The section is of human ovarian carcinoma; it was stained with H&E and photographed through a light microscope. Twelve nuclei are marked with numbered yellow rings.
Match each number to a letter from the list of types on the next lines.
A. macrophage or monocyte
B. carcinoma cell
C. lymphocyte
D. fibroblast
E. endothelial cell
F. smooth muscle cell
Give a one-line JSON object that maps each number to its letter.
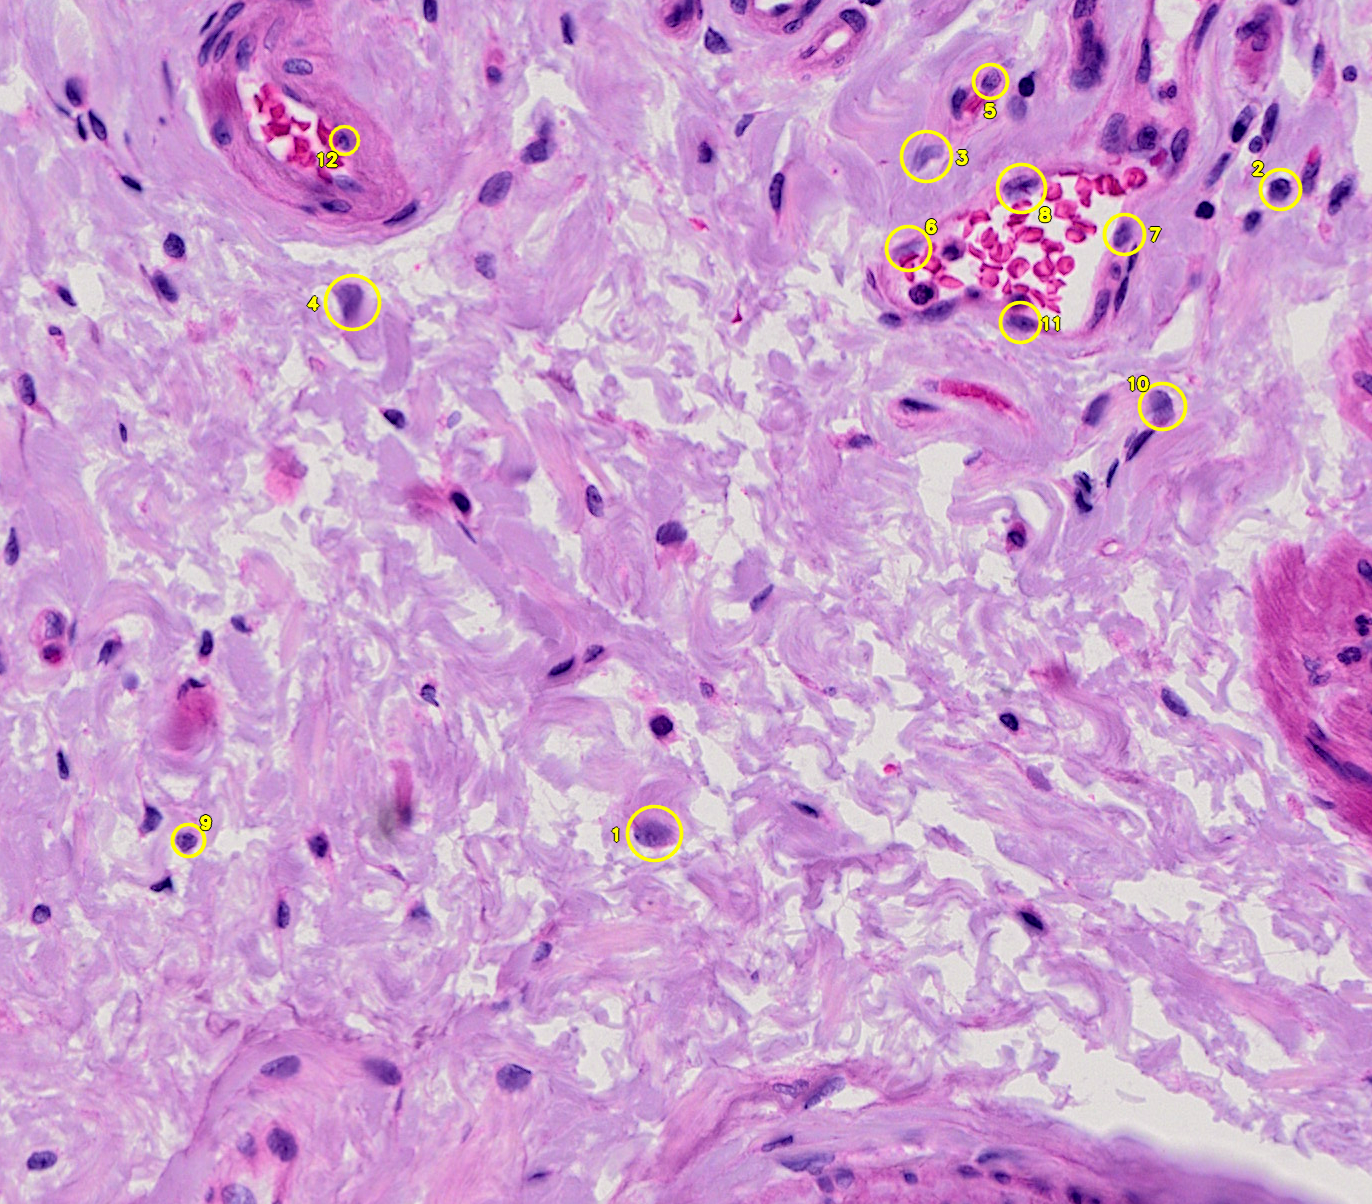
{"1": "D", "2": "C", "3": "D", "4": "D", "5": "E", "6": "E", "7": "E", "8": "E", "9": "C", "10": "D", "11": "E", "12": "E"}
